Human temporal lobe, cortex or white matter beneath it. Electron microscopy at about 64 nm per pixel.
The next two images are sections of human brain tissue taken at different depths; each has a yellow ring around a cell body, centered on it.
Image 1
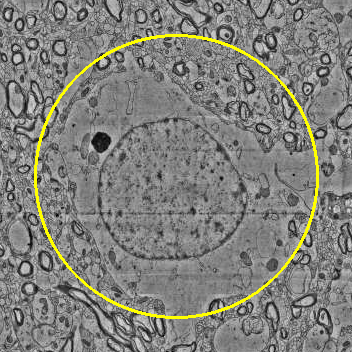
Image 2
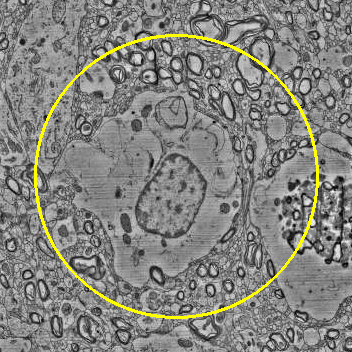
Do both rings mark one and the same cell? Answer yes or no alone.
no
